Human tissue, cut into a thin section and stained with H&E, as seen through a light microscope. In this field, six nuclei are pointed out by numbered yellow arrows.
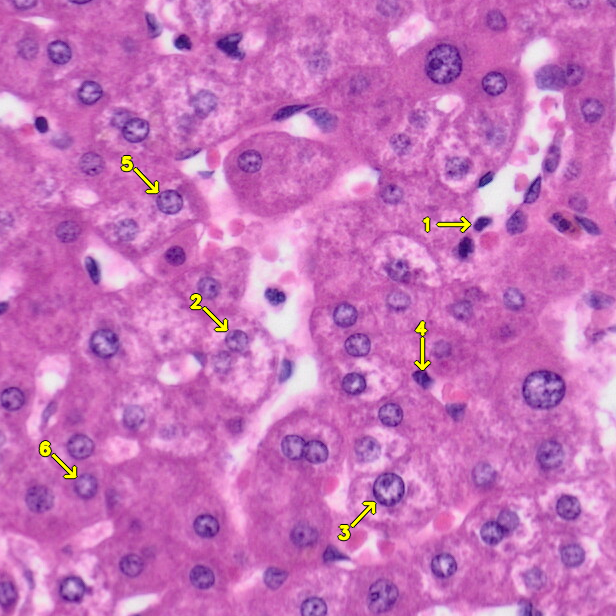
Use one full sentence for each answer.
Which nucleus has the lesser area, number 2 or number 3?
It is nucleus 2; nucleus 3 has about 2 times its area.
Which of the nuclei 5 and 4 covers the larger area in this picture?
Nucleus 5 is the larger one, covering about 2 times the area of nucleus 4.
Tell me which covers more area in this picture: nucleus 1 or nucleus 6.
Nucleus 6 is the larger one, covering about 2 times the area of nucleus 1.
